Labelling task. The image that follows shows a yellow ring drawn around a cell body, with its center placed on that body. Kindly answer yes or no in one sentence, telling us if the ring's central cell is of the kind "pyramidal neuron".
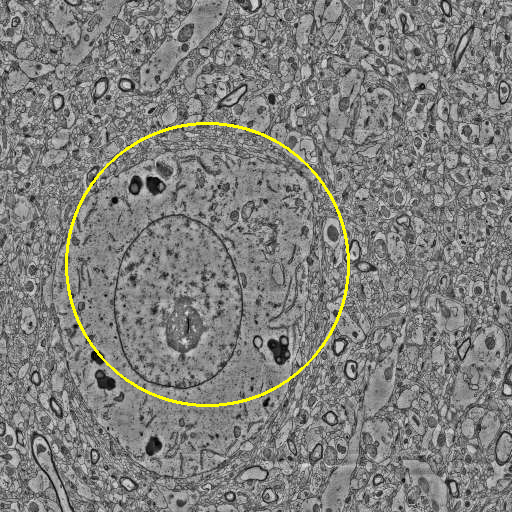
Yes, in this image the cell at the ring's center is of that kind.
